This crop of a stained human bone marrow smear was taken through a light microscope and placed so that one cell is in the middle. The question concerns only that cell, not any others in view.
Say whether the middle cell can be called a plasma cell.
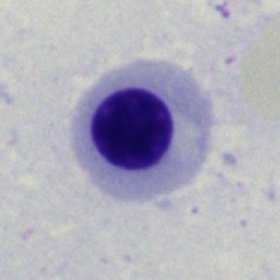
no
